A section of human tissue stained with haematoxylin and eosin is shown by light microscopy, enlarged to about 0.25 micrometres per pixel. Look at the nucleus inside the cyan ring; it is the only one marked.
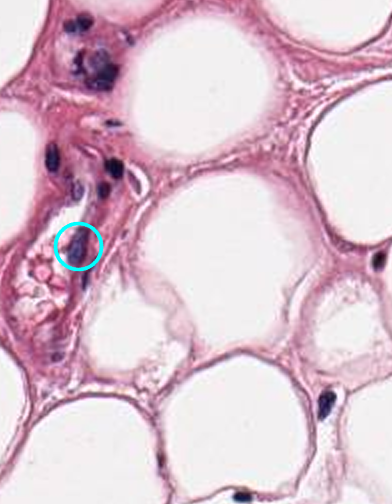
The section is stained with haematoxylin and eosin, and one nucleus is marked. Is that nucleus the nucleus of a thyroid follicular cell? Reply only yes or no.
no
